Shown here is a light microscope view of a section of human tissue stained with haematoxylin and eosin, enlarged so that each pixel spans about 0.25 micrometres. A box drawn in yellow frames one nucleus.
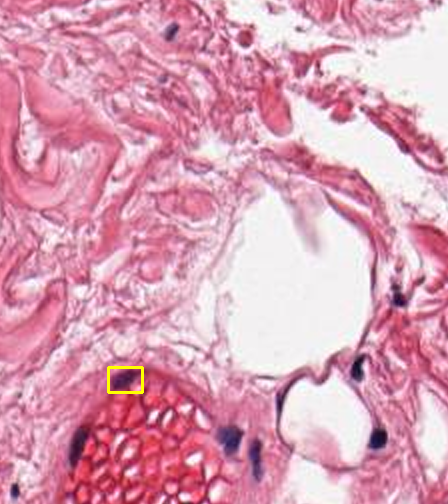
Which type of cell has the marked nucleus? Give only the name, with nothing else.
endothelial cell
